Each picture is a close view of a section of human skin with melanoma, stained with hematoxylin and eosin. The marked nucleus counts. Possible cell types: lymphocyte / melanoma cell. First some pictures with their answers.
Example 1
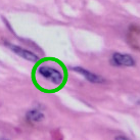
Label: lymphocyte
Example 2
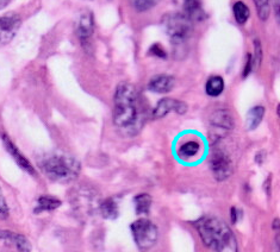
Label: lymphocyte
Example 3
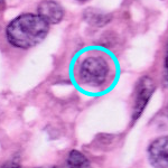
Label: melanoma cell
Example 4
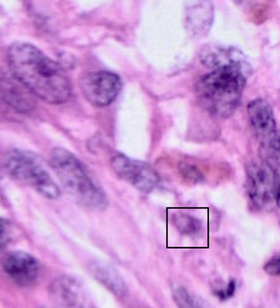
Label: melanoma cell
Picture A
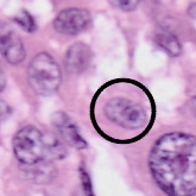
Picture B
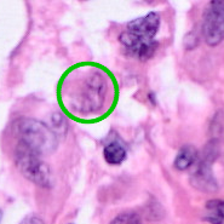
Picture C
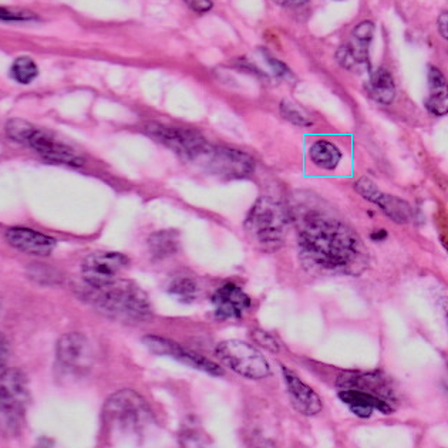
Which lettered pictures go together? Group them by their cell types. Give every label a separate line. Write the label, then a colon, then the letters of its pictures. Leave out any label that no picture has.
lymphocyte: C
melanoma cell: A, B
